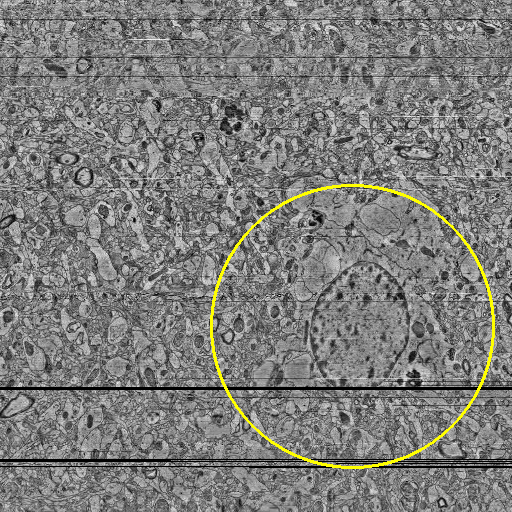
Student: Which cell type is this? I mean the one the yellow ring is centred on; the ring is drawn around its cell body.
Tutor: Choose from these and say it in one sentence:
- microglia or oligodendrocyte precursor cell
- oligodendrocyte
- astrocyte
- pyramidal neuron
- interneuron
The cell the ring is centred on is an astrocyte.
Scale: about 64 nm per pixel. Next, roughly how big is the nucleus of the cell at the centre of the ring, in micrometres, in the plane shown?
Approximately 8 micrometres long and 7 micrometres wide, in this plane.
